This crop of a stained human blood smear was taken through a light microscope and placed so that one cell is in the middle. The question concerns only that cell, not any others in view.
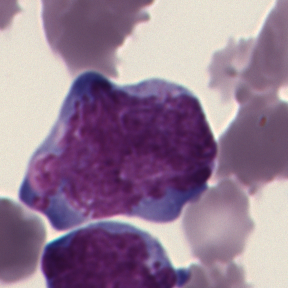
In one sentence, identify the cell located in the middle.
Framed in the middle of the crop is a myeloblast.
